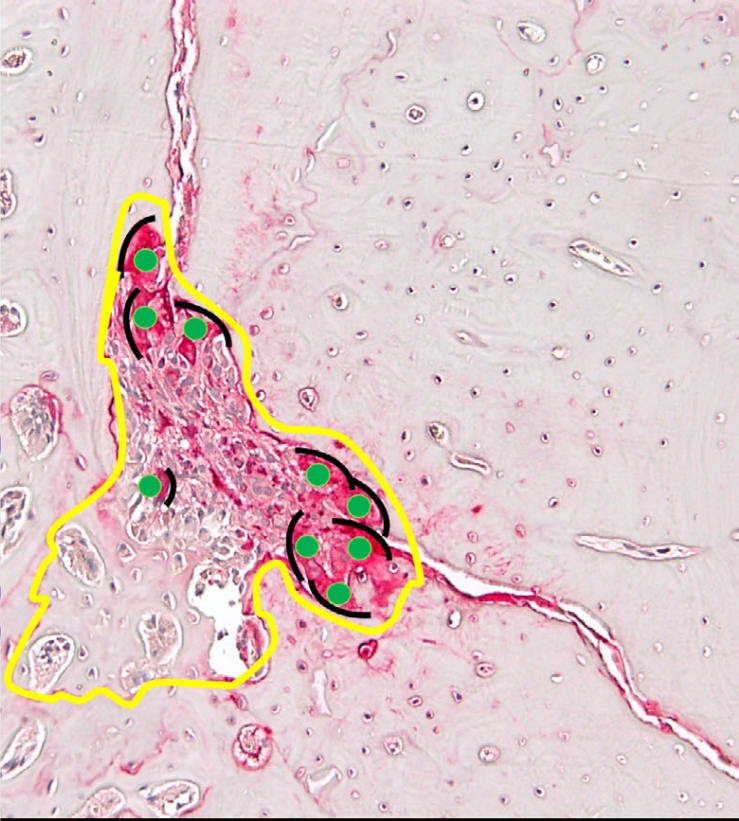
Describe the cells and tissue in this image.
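This is cortical bone with a resorption and remodelling site, where large osteoclasts stained intensely red cluster along the margins of a cavity cut into the bone. The osteoclasts are big cells with abundant red cytoplasm, lining the scalloped edges of the cavity, while the centre of the cavity holds loosely packed paler cells and vascular spaces. The surrounding bone matrix is pale pink and contains many small osteocytes in scattered lacunae, with some vascular canals. A thin crack runs through the matrix and enters the resorption site.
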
